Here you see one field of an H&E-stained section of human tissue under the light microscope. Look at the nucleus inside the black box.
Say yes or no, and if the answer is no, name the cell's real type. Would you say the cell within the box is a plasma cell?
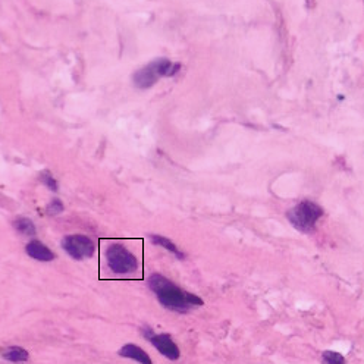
Yes.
